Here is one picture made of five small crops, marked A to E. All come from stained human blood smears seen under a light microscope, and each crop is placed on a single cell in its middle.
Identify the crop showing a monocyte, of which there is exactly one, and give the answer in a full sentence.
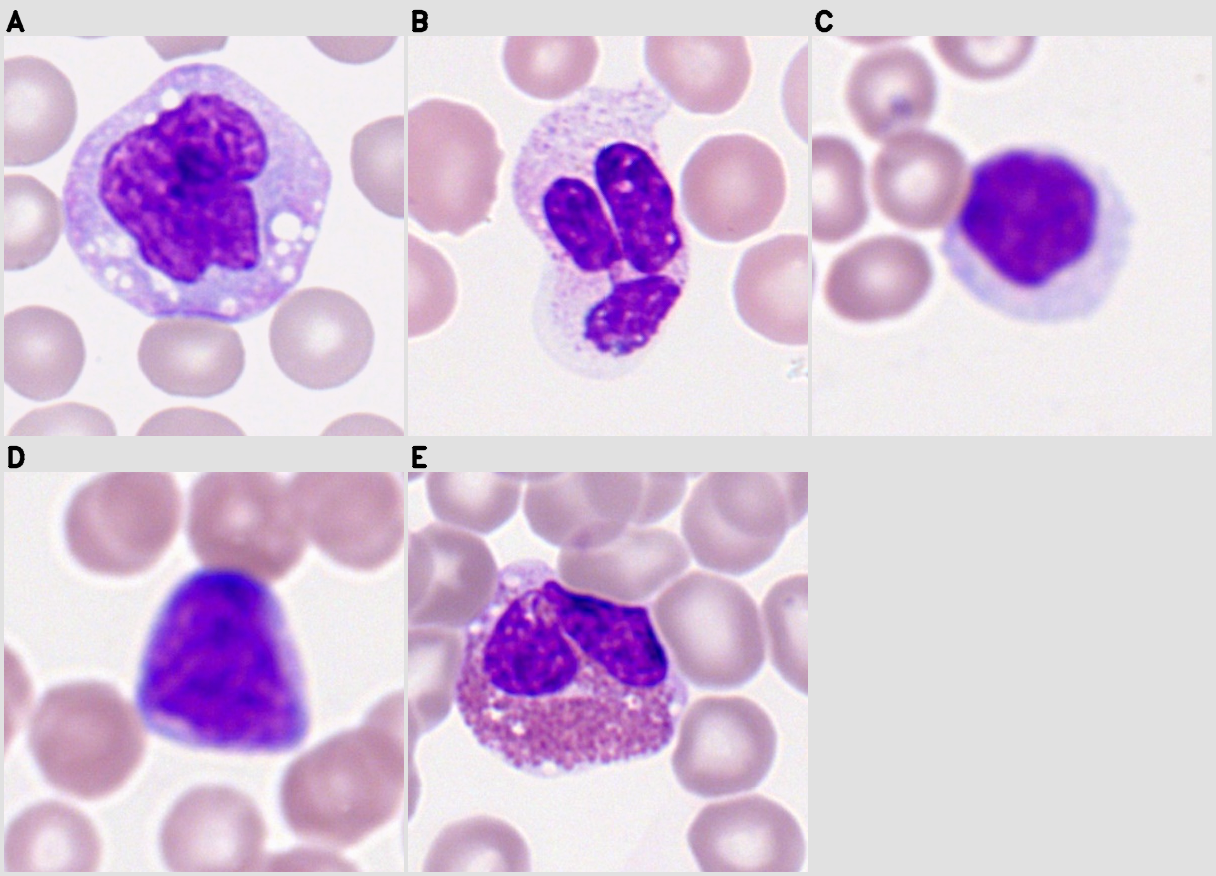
Crop A, of the crops presented, is the one showing a monocyte.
